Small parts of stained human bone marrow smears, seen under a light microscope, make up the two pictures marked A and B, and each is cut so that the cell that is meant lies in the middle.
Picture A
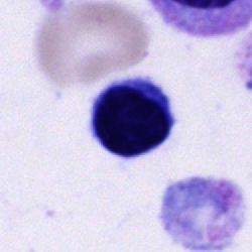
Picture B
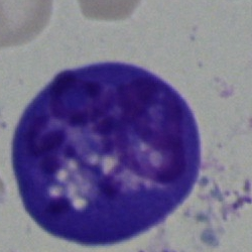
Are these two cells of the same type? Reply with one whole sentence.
No; the cell in picture A is a lymphocyte, while the one in picture B is a blast.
